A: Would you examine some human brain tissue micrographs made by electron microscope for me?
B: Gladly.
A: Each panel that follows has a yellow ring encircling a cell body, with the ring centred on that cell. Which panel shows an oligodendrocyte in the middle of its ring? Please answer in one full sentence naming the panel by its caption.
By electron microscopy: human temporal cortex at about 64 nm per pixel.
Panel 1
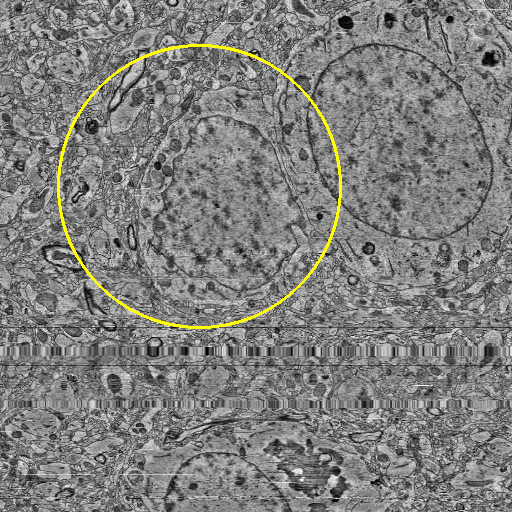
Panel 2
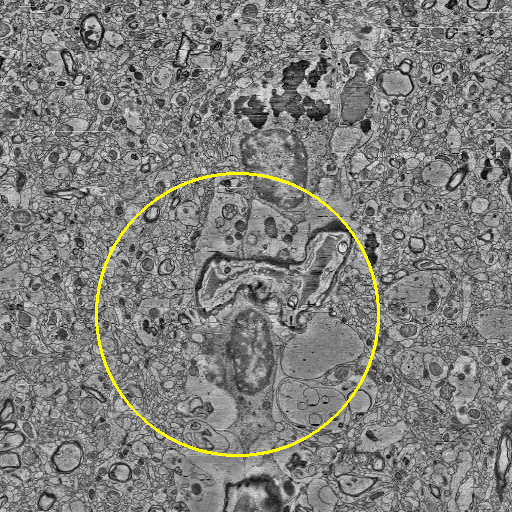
Panel 2 is where the ring sits centred on the requested cell.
